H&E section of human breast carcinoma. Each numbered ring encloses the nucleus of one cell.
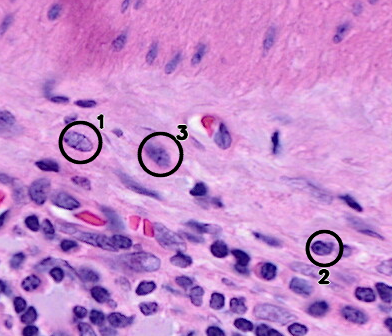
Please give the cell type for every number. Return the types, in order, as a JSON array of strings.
["mast cell", "lymphocyte", "mast cell"]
